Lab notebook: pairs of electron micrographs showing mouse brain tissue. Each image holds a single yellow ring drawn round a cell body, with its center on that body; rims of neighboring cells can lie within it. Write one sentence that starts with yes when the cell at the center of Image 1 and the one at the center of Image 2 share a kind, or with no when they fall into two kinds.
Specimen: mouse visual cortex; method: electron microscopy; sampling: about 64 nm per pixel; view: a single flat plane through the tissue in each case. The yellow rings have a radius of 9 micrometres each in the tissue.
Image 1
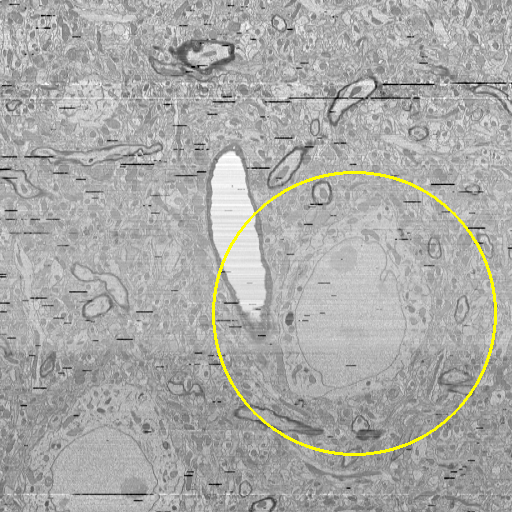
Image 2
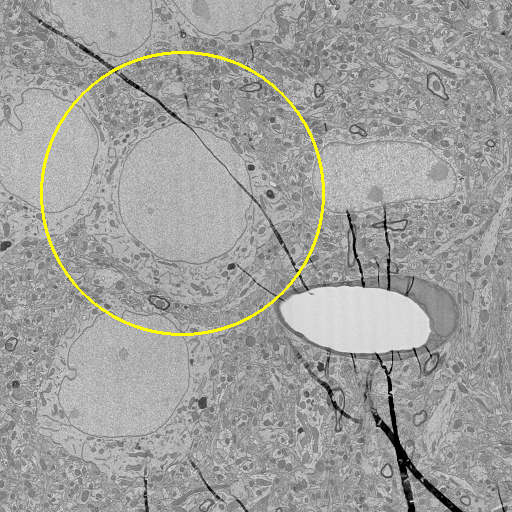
Yes, the centered cell in Image 1 and the centered cell in Image 2 are of one kind.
